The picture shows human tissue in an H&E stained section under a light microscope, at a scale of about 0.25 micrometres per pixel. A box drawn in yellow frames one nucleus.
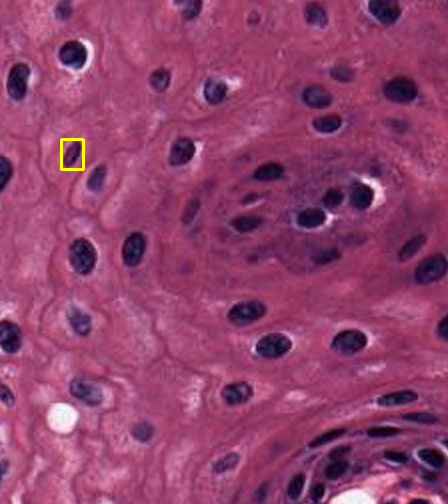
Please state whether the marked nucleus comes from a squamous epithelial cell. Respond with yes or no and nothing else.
yes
